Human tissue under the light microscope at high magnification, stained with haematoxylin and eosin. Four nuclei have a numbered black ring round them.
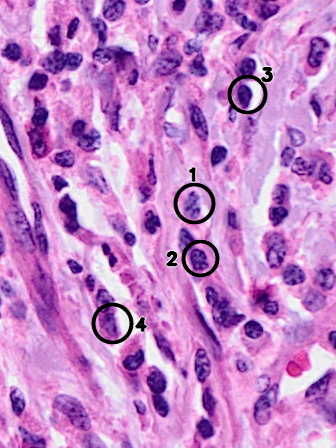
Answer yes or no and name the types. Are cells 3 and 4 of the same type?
No, cell 3 is a lymphocyte and cell 4 is a macrophage or monocyte.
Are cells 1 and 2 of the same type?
Yes, both are lymphocytes.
